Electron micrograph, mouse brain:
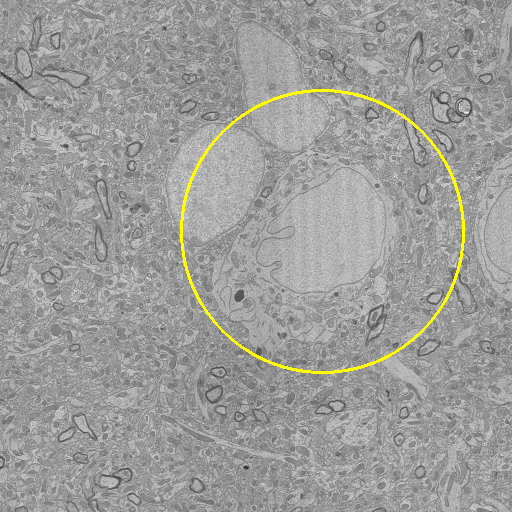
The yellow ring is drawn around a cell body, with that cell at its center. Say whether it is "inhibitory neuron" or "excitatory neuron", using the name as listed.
excitatory neuron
